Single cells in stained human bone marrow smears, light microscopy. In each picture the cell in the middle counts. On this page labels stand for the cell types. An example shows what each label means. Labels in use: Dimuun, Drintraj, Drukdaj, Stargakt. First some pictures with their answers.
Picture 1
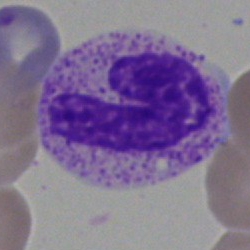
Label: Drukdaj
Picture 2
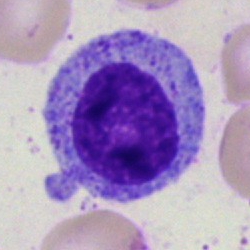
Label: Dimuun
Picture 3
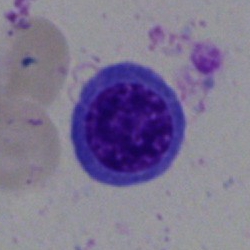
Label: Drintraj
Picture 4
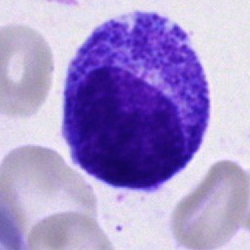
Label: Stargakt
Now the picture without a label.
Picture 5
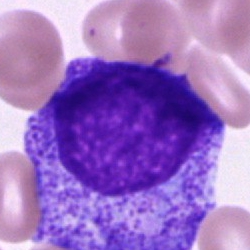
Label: Stargakt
